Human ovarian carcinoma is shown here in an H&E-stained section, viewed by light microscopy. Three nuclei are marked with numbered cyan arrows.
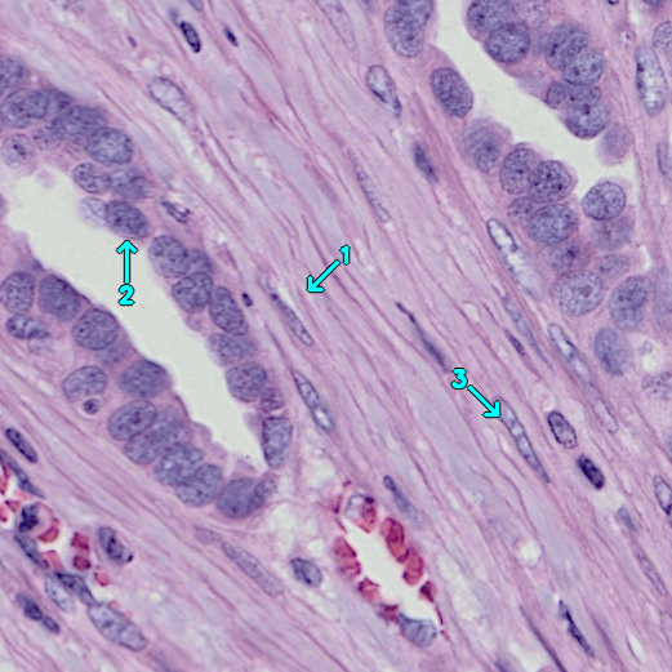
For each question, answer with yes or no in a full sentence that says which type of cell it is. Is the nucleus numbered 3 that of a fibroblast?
Yes, on this slide, the cell with number 3 is a fibroblast.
